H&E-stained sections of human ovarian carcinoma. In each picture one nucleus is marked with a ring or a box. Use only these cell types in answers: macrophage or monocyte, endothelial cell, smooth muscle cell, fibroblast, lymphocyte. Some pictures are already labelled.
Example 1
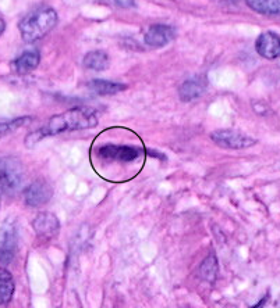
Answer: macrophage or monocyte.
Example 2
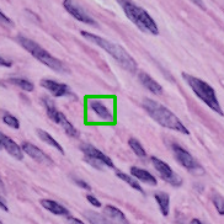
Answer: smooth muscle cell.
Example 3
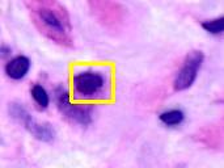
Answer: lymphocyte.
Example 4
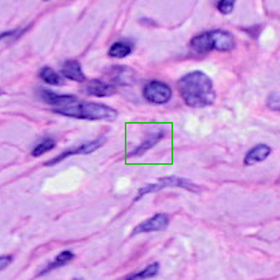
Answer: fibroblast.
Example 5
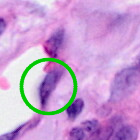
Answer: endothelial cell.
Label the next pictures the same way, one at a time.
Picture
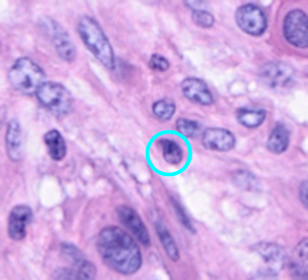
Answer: macrophage or monocyte.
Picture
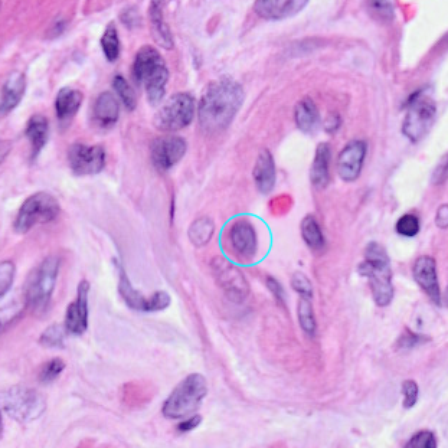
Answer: endothelial cell.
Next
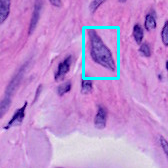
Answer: smooth muscle cell.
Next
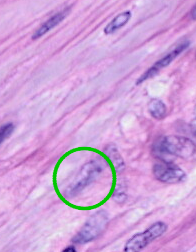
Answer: fibroblast.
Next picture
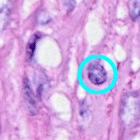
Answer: macrophage or monocyte.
